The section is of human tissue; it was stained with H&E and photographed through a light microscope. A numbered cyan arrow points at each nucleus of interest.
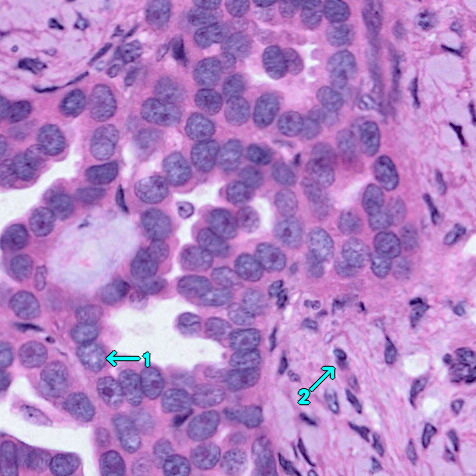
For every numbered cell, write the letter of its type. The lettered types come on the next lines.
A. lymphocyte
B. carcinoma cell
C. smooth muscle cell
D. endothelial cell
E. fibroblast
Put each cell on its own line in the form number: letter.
1: B
2: E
